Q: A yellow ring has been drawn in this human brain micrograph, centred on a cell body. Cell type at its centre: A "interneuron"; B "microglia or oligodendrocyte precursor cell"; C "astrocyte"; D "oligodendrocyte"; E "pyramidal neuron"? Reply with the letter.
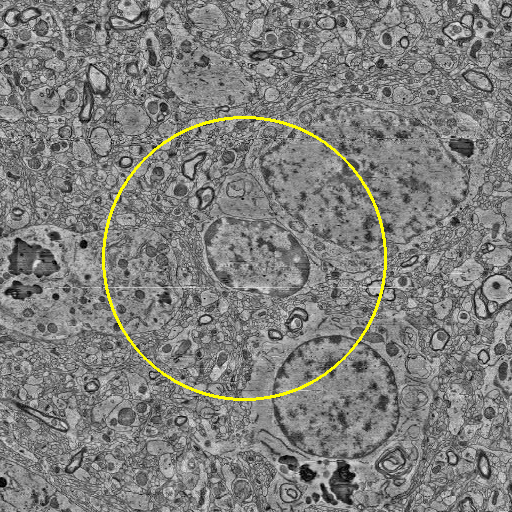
B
